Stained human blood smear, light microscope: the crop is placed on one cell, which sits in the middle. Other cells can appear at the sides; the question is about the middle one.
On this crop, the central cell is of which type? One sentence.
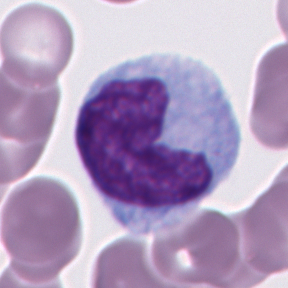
The cell found in the middle of this crop is a monocyte.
